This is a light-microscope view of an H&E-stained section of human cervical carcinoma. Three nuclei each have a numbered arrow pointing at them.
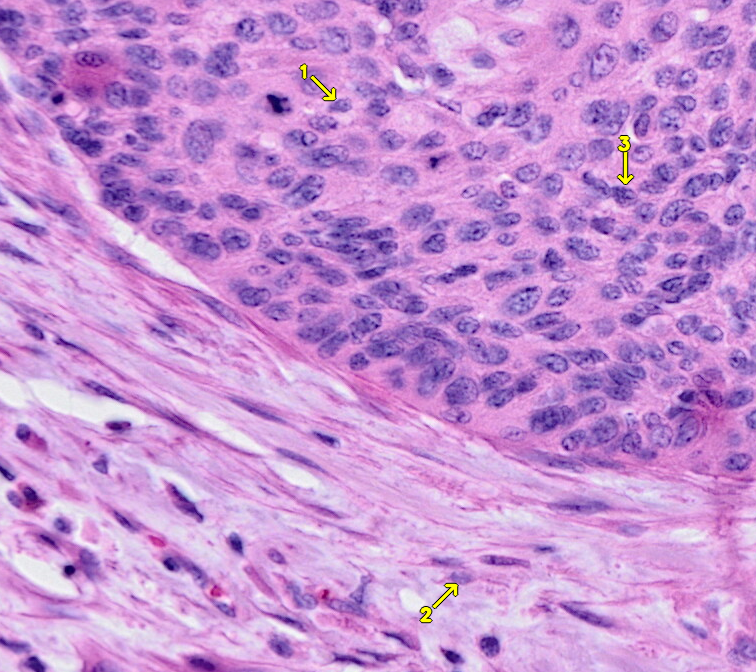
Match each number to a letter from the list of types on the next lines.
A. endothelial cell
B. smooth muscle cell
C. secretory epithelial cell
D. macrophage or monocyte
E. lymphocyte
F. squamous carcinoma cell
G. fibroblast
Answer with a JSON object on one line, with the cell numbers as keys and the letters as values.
{"1": "F", "2": "G", "3": "F"}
